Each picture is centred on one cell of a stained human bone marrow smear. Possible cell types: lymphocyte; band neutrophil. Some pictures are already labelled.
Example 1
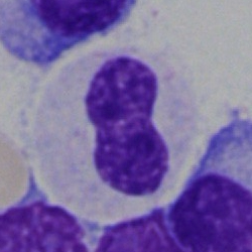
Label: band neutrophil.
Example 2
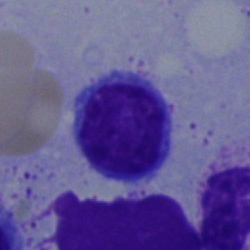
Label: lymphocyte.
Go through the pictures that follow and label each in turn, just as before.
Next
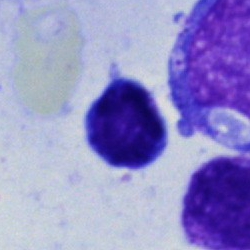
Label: lymphocyte.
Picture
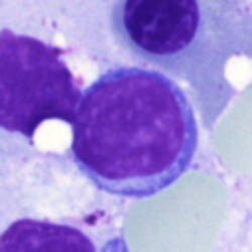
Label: lymphocyte.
